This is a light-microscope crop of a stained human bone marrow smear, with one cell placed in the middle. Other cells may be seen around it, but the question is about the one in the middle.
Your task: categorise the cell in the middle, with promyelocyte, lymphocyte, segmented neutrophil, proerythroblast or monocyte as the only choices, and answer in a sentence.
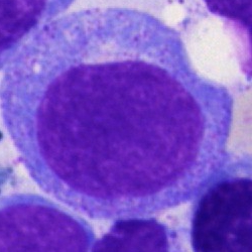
Centred in the crop is a promyelocyte.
